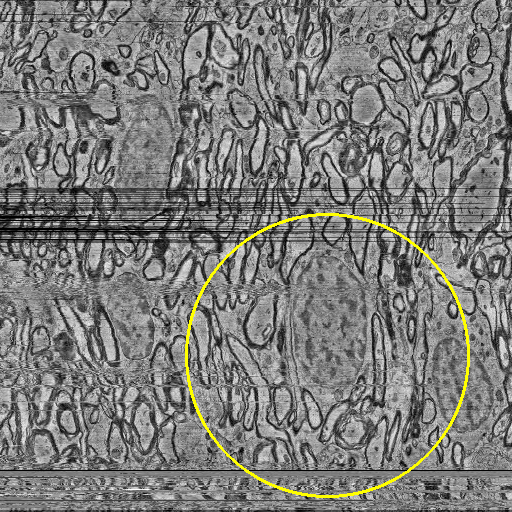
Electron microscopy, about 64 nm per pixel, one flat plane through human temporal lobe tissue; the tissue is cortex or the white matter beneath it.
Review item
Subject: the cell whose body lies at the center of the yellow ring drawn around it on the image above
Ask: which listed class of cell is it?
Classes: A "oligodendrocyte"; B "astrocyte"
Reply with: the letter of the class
A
